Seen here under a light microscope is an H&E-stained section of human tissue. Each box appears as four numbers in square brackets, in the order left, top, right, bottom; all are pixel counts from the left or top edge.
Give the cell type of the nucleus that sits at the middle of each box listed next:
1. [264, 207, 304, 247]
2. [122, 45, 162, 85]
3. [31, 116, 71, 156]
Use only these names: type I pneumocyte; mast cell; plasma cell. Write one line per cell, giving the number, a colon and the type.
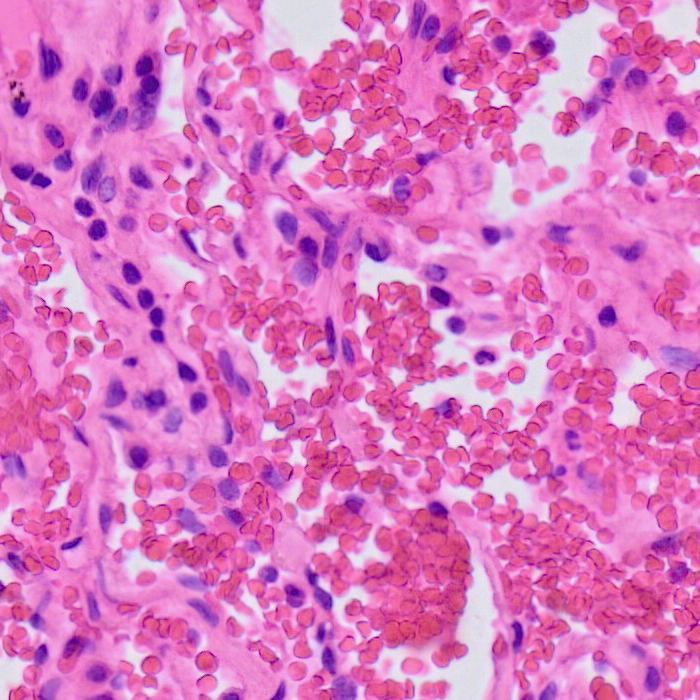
1: type I pneumocyte
2: plasma cell
3: mast cell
